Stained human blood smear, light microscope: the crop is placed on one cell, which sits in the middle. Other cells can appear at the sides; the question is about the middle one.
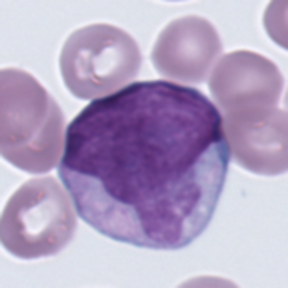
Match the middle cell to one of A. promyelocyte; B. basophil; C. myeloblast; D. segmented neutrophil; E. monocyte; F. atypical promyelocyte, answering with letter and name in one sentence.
Option F is the right one, for the cell in the middle is an atypical promyelocyte.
